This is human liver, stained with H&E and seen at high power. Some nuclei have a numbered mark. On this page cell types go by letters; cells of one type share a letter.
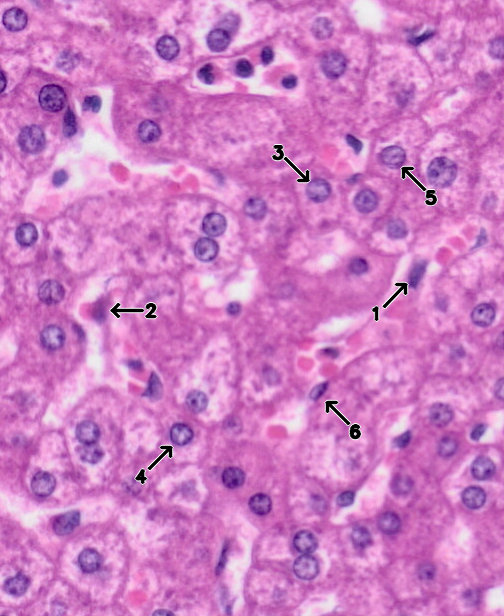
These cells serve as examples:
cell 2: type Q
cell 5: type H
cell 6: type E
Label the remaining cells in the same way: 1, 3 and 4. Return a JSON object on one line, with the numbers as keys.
{"1": "type Q", "3": "type H", "4": "type H"}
